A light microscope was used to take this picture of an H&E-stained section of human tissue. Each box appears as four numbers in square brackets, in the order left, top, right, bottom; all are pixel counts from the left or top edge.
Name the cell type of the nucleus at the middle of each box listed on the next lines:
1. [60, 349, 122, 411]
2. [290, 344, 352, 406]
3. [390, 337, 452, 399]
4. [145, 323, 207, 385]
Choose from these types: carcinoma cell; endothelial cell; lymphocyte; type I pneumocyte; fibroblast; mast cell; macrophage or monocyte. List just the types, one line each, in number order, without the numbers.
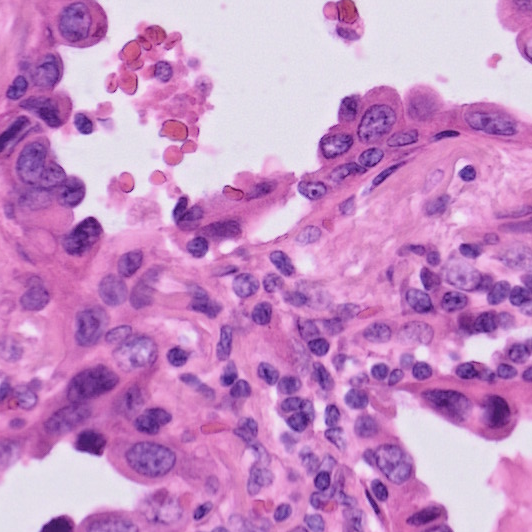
carcinoma cell
lymphocyte
lymphocyte
lymphocyte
